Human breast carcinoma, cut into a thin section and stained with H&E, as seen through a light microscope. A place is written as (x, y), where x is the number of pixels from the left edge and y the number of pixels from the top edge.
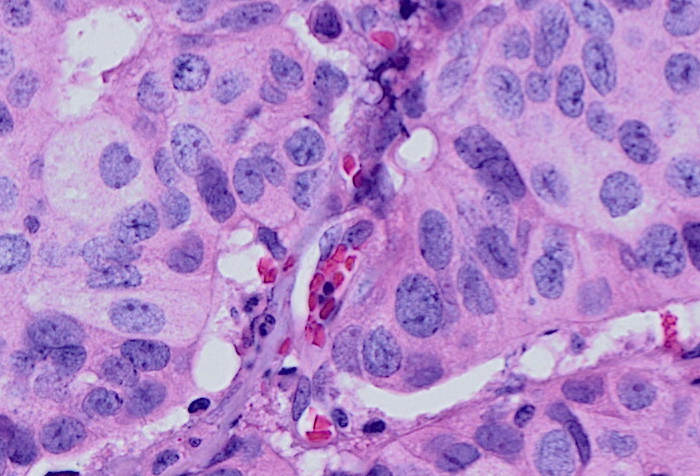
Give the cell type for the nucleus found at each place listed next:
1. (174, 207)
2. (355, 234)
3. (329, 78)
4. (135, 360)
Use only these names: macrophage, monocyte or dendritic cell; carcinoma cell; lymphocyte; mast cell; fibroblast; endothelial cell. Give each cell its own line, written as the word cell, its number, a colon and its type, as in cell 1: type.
cell 1: carcinoma cell
cell 2: endothelial cell
cell 3: carcinoma cell
cell 4: carcinoma cell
